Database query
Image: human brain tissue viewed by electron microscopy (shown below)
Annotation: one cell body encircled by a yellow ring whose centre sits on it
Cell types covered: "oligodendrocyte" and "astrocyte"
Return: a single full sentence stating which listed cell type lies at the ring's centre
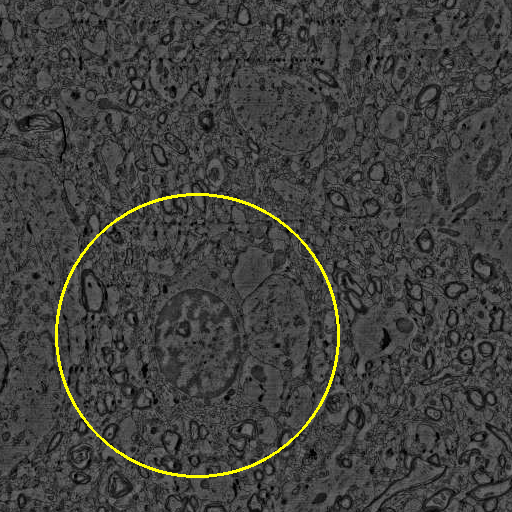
In the image, the cell lying at the ring's centre is an oligodendrocyte.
